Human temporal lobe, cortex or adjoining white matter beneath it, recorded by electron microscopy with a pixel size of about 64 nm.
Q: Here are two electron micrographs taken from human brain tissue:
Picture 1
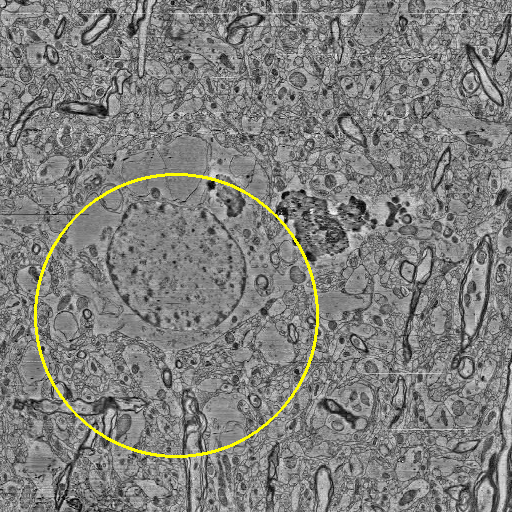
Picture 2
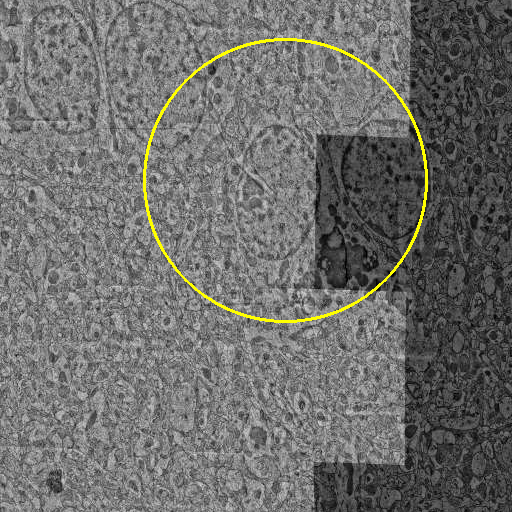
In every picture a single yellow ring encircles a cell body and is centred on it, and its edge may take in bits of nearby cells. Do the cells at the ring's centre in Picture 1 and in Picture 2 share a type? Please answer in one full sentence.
Yes, the cells at the ring's centre in Picture 1 and Picture 2 share a type.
